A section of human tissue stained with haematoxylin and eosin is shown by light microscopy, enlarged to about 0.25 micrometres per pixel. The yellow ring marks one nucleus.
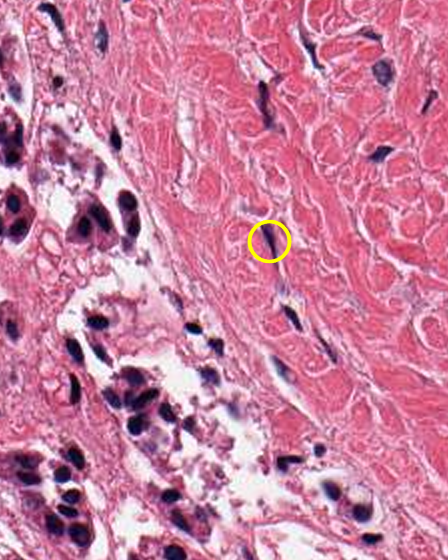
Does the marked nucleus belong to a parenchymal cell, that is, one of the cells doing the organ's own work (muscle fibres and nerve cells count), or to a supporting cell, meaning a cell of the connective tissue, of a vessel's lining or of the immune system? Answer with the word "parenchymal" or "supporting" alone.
supporting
